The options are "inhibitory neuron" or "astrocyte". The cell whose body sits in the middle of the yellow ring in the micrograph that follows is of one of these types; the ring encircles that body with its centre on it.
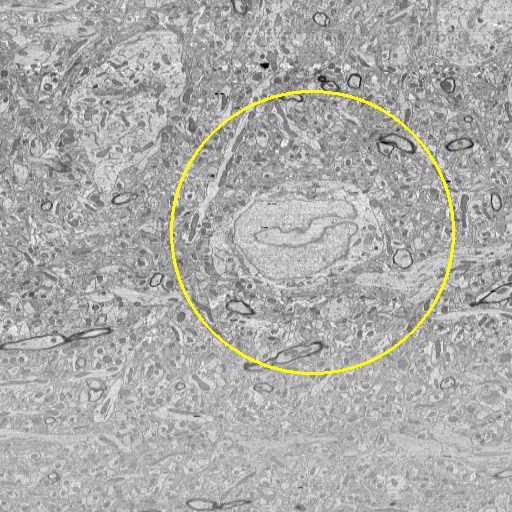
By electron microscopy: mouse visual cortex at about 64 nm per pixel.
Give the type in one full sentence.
Going by the micrograph, the cell centred in the yellow ring is an inhibitory neuron.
